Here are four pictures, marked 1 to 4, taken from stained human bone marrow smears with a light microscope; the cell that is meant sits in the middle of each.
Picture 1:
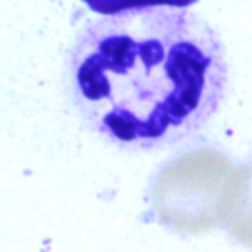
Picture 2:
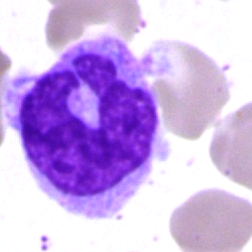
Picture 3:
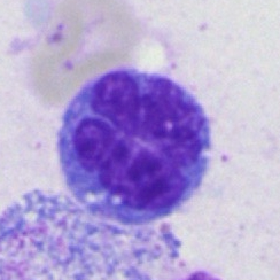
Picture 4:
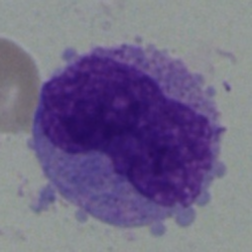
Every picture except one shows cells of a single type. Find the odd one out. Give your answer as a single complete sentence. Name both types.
Picture 1 is the odd one out: it shows a segmented neutrophil, while the others show monocytes.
